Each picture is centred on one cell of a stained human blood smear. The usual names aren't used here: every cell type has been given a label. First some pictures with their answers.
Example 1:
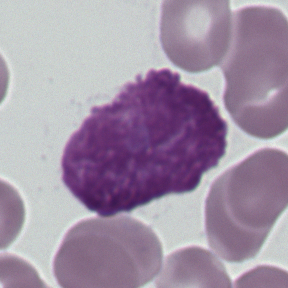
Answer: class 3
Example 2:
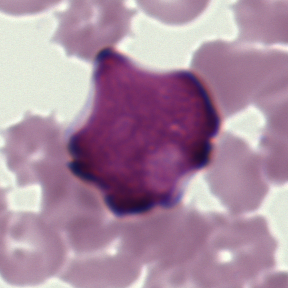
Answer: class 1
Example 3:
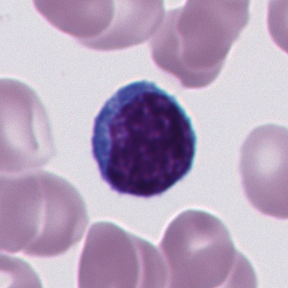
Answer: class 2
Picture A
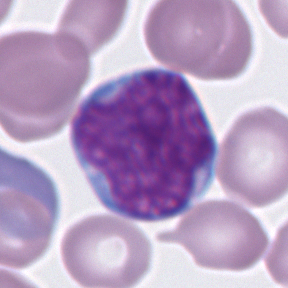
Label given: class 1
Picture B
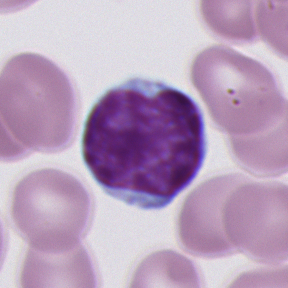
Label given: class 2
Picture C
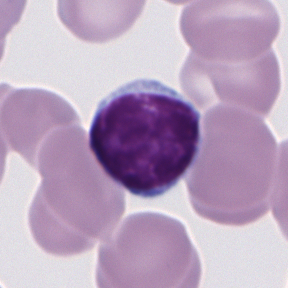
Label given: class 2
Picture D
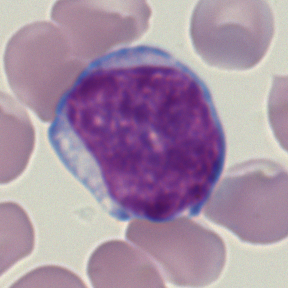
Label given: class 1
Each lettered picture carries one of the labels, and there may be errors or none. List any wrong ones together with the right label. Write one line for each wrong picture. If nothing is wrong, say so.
Nothing to fix; every label fits.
